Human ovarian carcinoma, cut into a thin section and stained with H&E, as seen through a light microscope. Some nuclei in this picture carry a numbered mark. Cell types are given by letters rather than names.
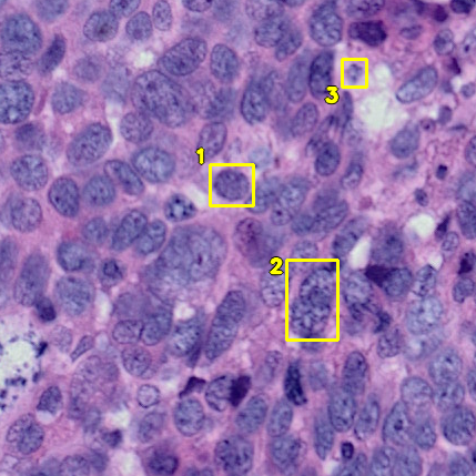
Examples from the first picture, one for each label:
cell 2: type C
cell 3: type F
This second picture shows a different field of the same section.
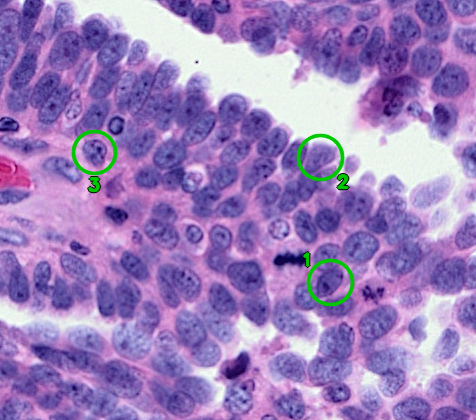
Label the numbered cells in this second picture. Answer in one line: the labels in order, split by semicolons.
type C; type C; type F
